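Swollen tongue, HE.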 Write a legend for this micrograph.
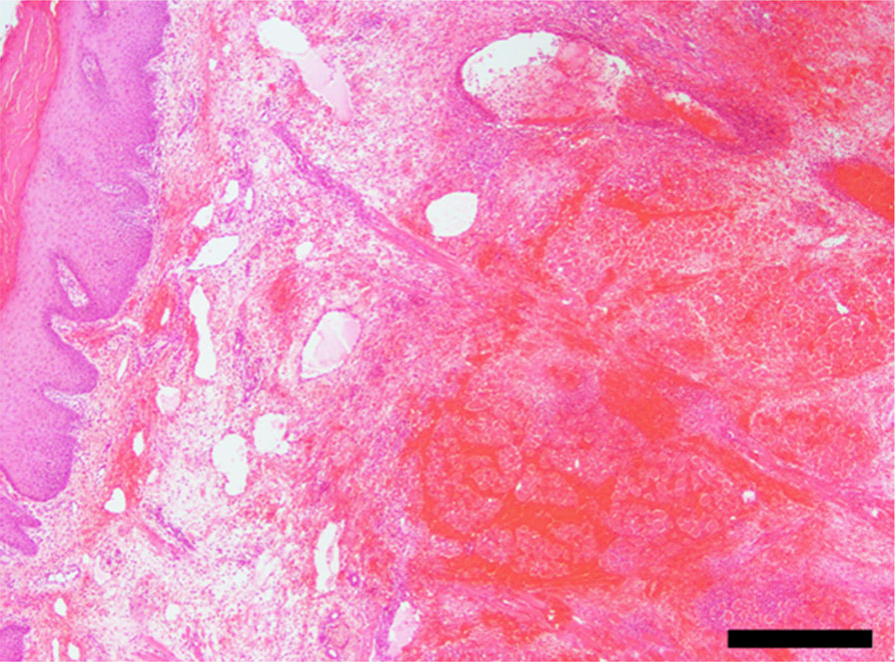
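At the left edge lies a stratified squamous epithelium with a bright pink surface layer. Beneath it the connective tissue is pale and loosely spread, with many clear empty spaces and thin vessels, as in edema. Toward the right the tissue is flooded by bright red blood that obscures and breaks up the underlying tissue, a necrotic and hemorrhagic lesion.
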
